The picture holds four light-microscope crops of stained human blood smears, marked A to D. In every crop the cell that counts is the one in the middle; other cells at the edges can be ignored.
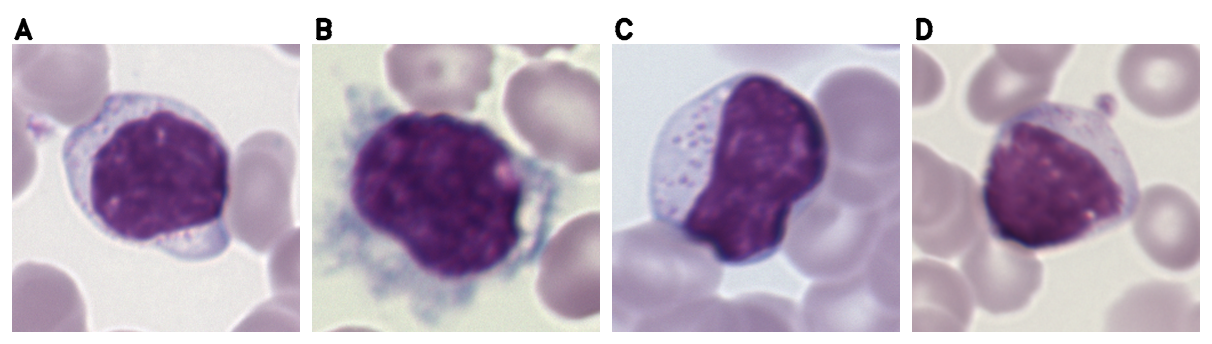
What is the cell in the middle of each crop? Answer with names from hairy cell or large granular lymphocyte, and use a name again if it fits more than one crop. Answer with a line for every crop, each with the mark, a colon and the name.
A: large granular lymphocyte
B: hairy cell
C: large granular lymphocyte
D: large granular lymphocyte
